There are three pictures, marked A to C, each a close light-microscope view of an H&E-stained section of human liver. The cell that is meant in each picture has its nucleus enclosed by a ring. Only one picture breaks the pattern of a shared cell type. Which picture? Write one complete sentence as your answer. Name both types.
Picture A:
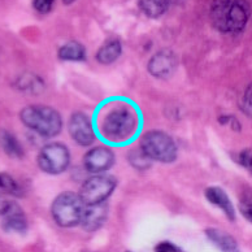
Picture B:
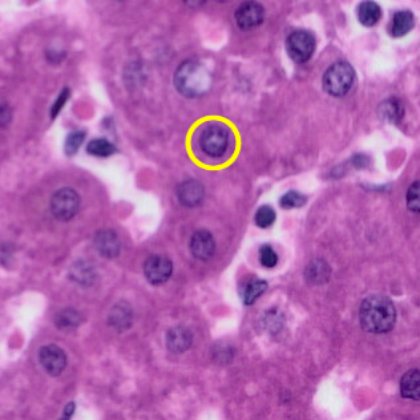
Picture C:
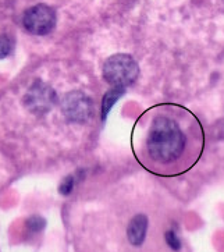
The different one is picture A; it shows a cholangiocyte, whereas all the others show hepatocytes.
